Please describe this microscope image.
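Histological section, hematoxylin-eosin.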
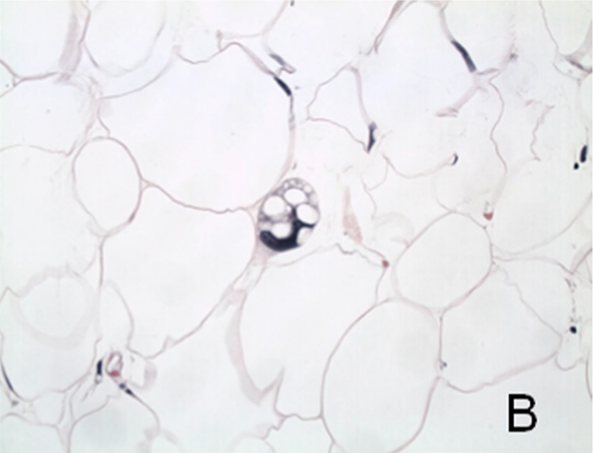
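Adipose tissue with large, clear, empty fat cells bounded by thin pink membranes and a few flat dark nuclei at their edges. In the centre lies a much smaller lipoblast whose cytoplasm is filled with several small clear round lipid vacuoles. Its dark nucleus is compressed and indented by these vacuoles.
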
